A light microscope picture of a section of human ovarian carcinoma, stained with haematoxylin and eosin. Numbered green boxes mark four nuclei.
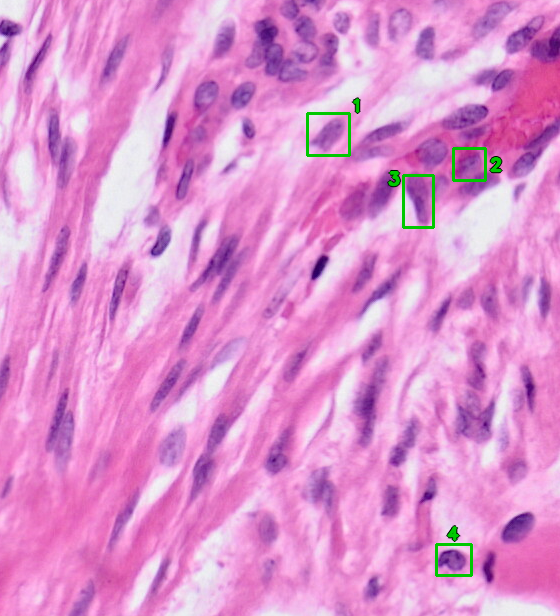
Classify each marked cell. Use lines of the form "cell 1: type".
cell 1: fibroblast
cell 2: endothelial cell
cell 3: fibroblast
cell 4: macrophage or monocyte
